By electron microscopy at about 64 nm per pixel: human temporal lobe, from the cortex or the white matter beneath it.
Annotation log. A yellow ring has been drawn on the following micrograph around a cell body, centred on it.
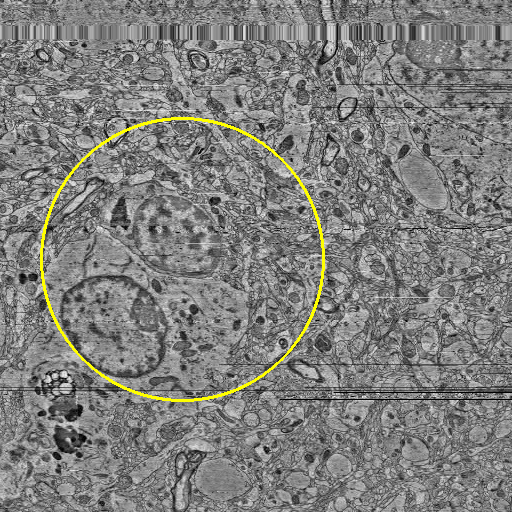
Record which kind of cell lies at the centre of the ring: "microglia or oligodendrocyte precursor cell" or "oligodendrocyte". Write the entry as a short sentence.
The cell the ring is centred on is an oligodendrocyte.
